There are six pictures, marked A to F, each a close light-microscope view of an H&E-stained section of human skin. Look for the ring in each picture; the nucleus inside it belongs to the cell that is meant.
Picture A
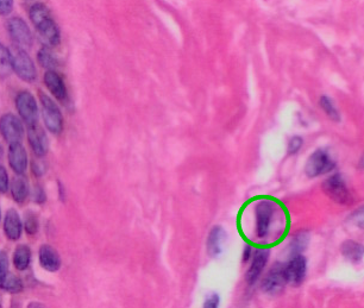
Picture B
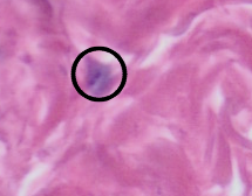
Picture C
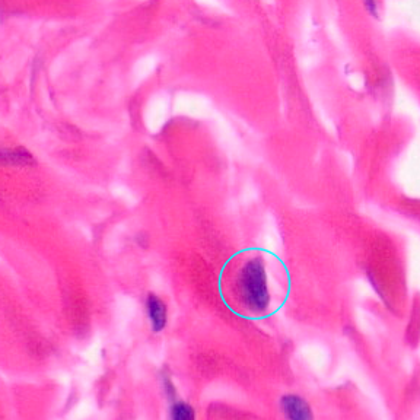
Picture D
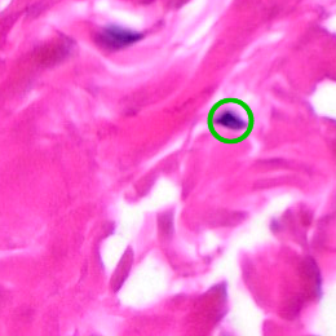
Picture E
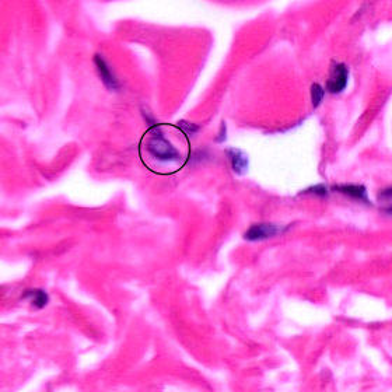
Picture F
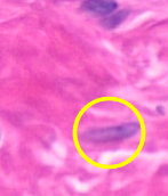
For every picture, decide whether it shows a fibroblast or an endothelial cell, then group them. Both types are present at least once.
A: endothelial cell
B: fibroblast
C: fibroblast
D: fibroblast
E: endothelial cell
F: fibroblast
